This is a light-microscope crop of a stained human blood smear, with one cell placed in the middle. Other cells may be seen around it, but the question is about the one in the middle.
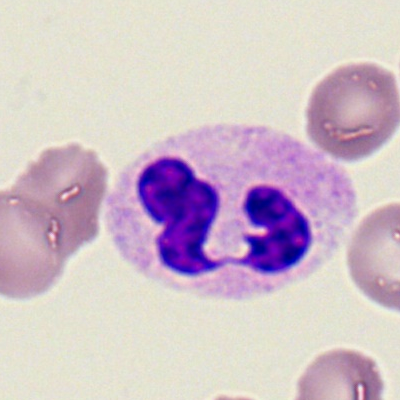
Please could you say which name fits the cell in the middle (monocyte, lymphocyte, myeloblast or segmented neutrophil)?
segmented neutrophil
